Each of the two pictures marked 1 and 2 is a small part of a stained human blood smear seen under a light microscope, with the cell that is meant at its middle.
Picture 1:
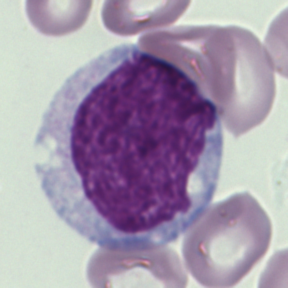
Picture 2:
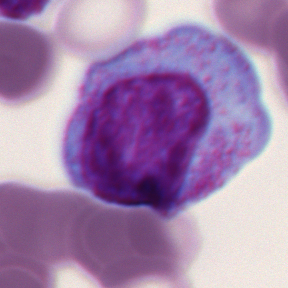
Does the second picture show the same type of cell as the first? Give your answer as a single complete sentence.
No; the cell in picture 1 is a monocyte, while the one in picture 2 is a myelocyte.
